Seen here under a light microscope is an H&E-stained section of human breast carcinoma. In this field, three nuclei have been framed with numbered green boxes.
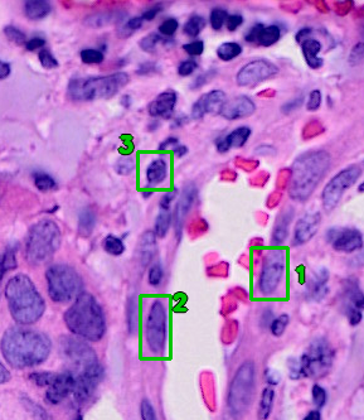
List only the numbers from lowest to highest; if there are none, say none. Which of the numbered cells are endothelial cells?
1, 2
